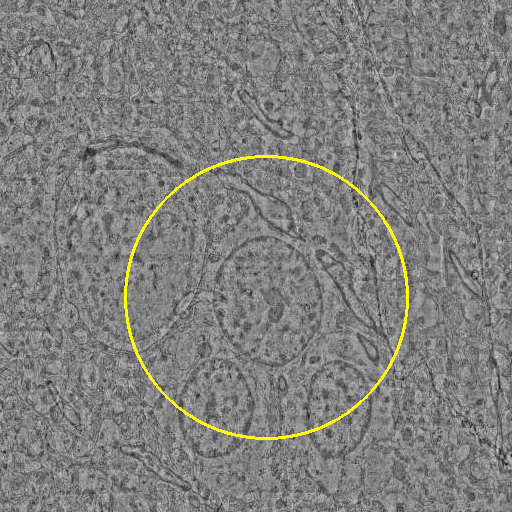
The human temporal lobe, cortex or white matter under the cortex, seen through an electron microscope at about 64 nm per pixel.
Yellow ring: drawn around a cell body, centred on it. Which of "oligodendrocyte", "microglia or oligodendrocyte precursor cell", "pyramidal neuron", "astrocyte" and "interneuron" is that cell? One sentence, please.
That cell body is from an astrocyte.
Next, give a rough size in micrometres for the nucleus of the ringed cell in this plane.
Roughly 8 micrometres by 7 micrometres, in this plane.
